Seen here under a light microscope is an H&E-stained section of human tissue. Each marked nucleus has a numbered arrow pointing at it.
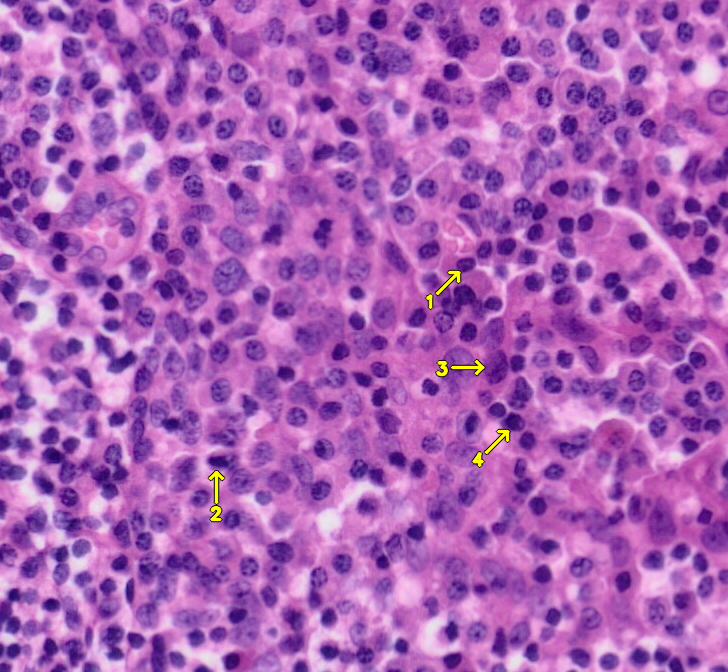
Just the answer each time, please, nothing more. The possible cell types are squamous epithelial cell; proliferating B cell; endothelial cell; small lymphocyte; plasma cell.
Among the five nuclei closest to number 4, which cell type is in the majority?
plasma cell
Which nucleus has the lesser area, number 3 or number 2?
2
